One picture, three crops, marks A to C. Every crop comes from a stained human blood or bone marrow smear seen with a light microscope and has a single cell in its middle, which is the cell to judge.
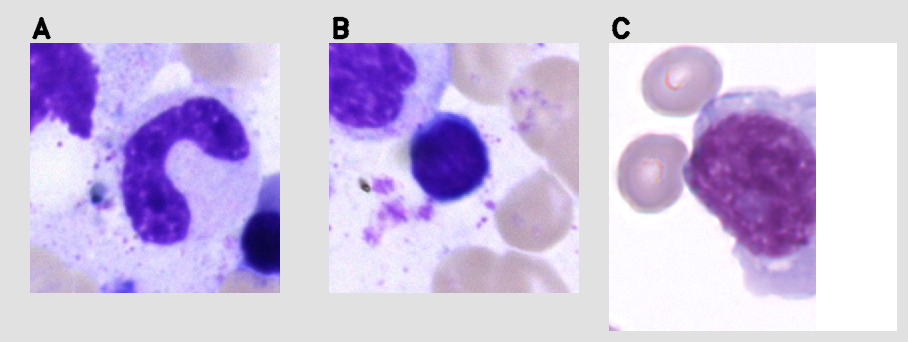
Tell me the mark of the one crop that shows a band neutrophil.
A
